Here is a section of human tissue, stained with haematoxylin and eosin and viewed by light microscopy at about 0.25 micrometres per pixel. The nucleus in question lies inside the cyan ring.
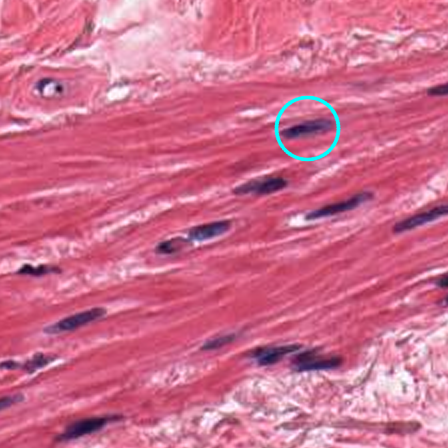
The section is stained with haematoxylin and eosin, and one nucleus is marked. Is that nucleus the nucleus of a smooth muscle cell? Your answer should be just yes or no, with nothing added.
yes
